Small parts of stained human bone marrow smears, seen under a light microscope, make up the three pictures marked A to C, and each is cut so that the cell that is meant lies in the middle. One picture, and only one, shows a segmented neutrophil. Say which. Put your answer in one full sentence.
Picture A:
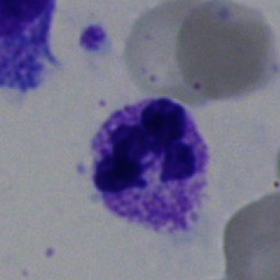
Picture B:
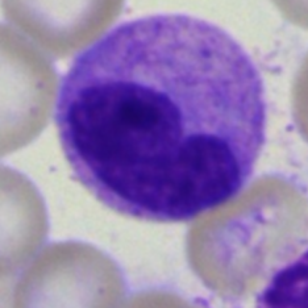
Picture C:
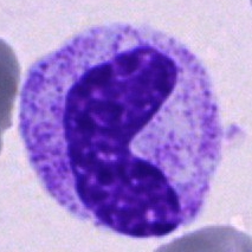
The picture with the segmented neutrophil is A.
